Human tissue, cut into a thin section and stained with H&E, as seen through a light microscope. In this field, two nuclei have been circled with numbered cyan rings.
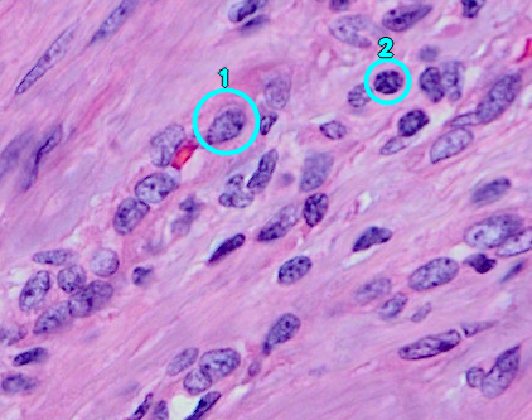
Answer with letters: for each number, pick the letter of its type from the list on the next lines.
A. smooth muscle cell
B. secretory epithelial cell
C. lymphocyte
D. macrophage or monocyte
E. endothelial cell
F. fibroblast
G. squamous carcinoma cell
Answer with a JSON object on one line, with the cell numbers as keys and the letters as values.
{"1": "E", "2": "C"}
